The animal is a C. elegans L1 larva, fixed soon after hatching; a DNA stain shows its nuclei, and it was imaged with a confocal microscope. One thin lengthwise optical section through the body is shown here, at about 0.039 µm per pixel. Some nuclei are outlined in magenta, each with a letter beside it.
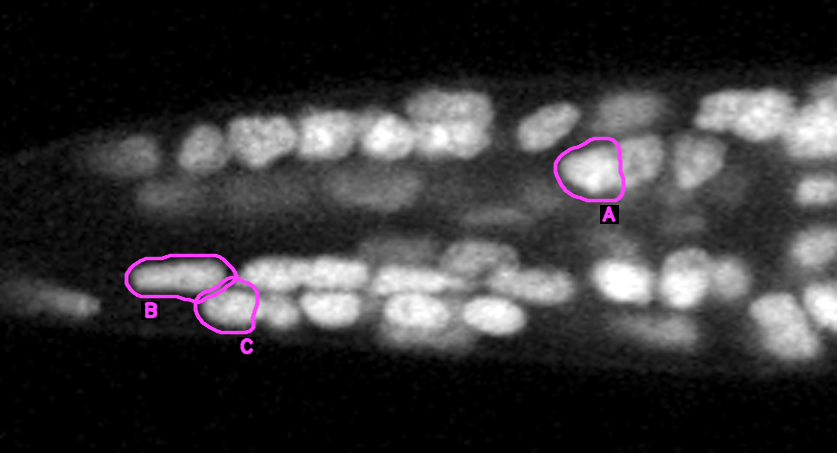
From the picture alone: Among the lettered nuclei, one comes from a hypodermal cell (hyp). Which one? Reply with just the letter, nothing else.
C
